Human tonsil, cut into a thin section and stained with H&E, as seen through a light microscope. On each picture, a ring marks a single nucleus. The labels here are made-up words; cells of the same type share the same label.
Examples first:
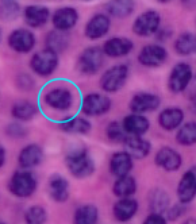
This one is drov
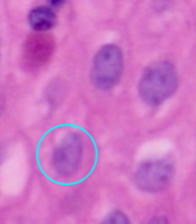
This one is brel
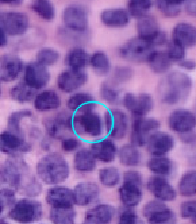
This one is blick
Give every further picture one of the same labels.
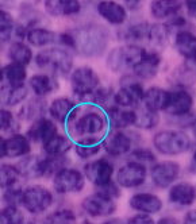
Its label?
blick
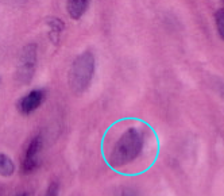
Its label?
brel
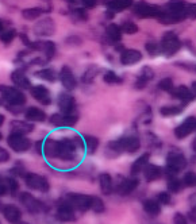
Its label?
blick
